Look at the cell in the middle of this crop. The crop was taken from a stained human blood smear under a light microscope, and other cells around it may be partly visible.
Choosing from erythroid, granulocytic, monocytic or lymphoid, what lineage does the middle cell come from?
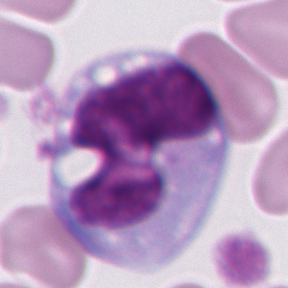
monocytic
